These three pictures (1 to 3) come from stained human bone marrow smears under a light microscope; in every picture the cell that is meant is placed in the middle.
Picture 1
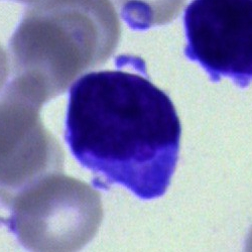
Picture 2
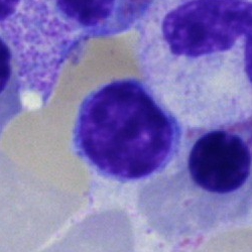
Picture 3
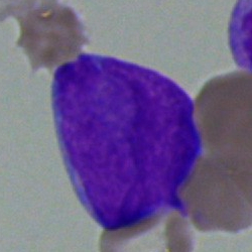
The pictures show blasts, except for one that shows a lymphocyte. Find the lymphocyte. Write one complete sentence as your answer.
It is picture 2 that shows the lymphocyte.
